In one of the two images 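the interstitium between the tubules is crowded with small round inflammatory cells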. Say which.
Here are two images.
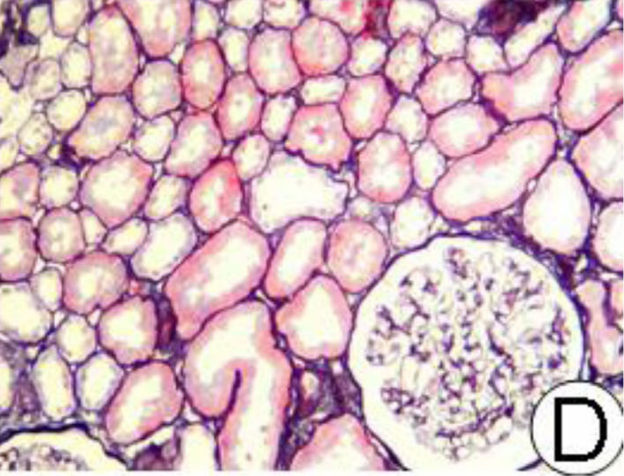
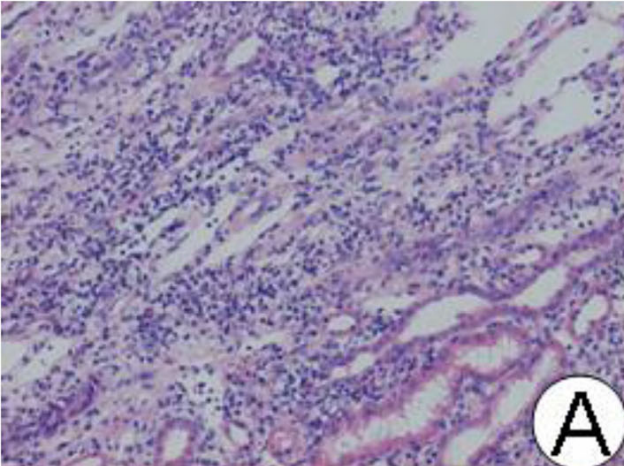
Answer: The second image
